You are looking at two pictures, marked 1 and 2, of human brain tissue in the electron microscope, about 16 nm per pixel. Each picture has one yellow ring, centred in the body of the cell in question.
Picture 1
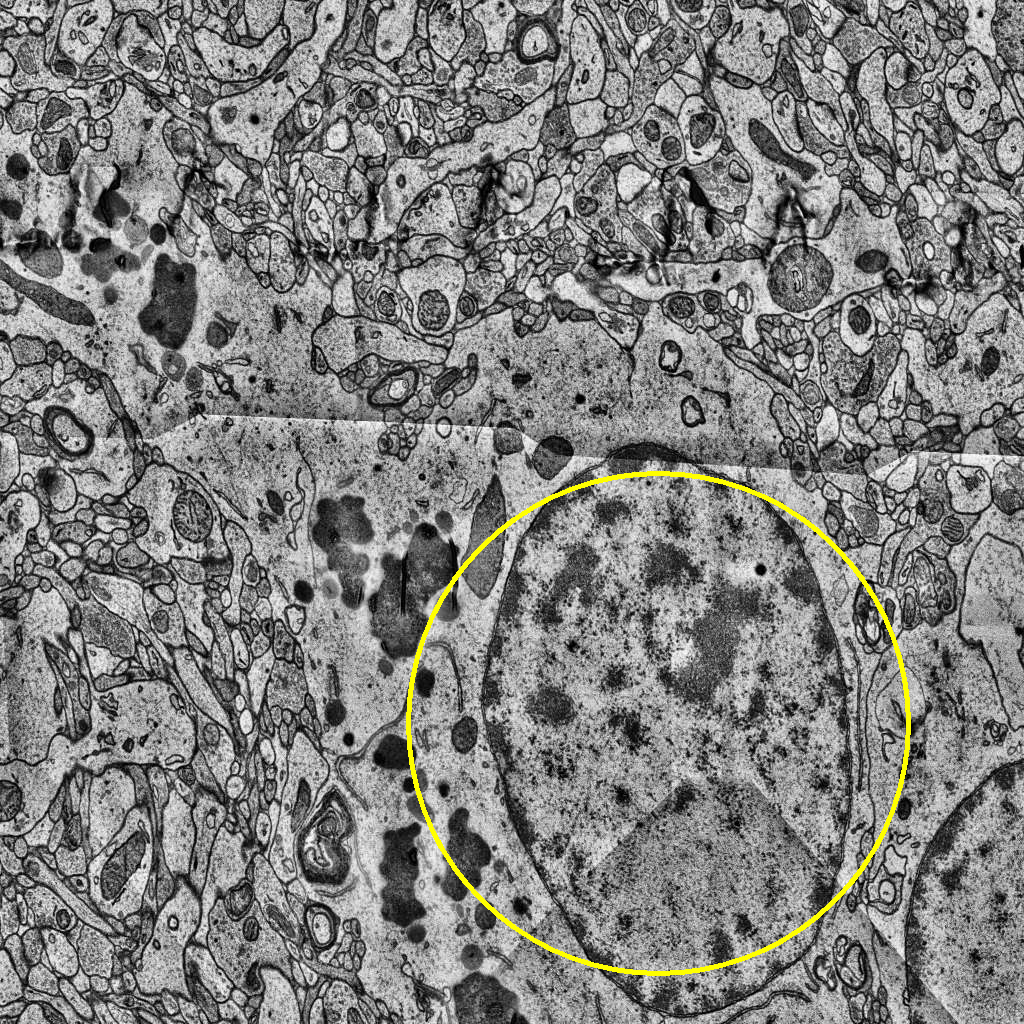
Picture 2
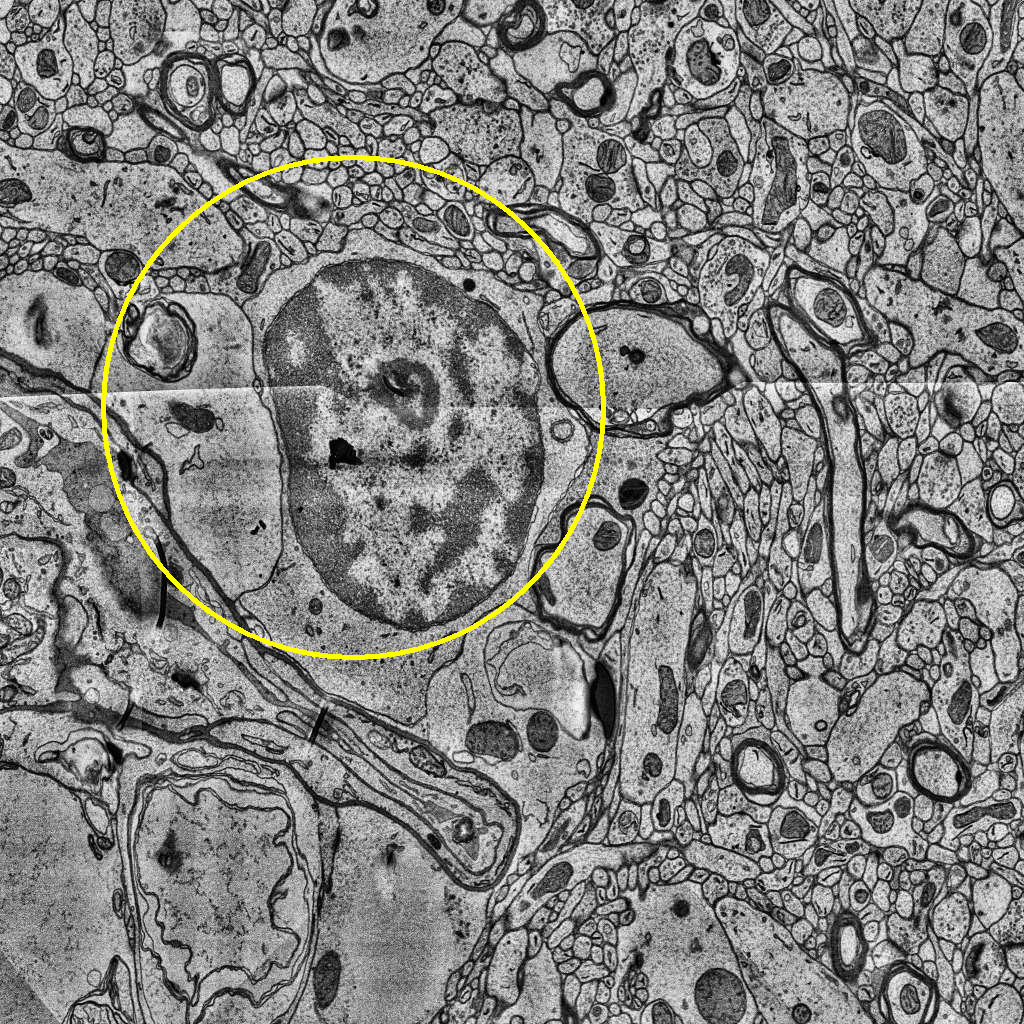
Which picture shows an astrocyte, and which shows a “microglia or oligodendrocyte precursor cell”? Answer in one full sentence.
In picture 1 the cell is an astrocyte; in picture 2, a “microglia or oligodendrocyte precursor cell”.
